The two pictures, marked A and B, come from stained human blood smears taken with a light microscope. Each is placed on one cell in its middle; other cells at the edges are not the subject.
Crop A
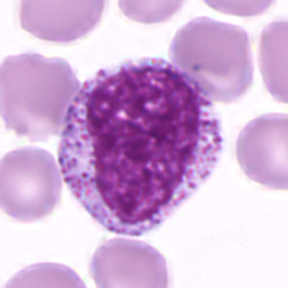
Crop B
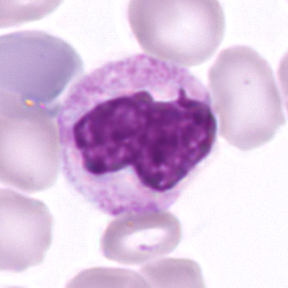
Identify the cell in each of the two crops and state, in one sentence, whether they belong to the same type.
No, a band neutrophil is in crop B, and a metamyelocyte is in crop A.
